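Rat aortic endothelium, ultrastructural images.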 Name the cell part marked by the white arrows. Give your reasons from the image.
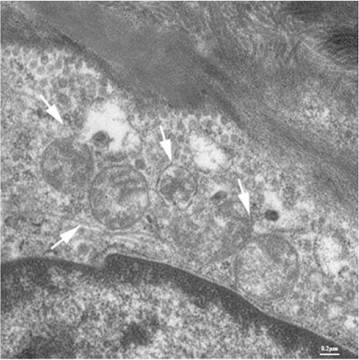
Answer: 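The arrows point to a cluster of round, membrane-bounded structures in the cytoplasm. The marked structures contain internal membrane folds. A dark, dense band of nuclear material borders the field.
Hence: autophagic vacuoles.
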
